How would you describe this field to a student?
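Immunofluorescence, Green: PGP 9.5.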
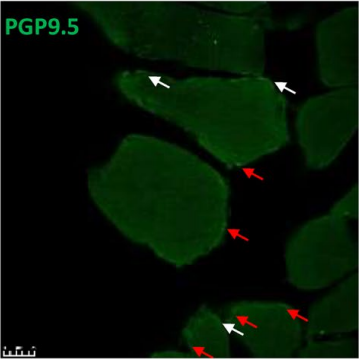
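This is a cross-section of skeletal muscle, where the myocytes appear as large, rounded to polygonal profiles glowing a faint, even green, separated by dark spaces. At the edges of some muscle fibres, tiny bright green dots sit against the surface, which are small nerve fibers lying alongside the myocytes.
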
